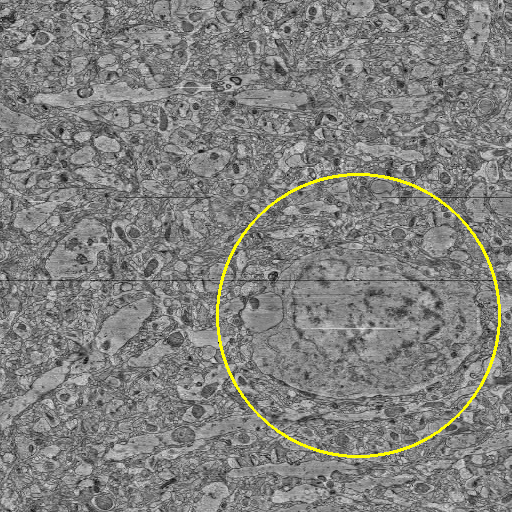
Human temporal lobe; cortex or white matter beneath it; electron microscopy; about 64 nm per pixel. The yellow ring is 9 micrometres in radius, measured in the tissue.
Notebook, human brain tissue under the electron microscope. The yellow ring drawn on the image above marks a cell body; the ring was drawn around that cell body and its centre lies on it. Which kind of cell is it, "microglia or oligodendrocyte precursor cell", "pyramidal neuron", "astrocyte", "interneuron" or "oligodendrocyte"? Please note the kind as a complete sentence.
The marked cell body is that of an interneuron.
